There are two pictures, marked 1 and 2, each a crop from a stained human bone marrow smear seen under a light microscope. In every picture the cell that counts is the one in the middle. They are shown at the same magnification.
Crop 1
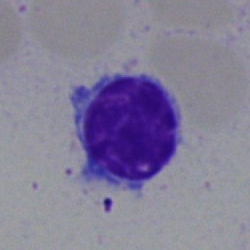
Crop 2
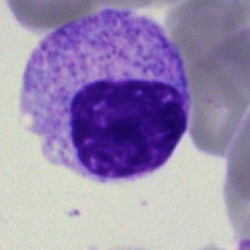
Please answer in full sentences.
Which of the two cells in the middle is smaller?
Crop 1 holds the smaller cell, since the cell in crop 2 covers about 2 times as much area.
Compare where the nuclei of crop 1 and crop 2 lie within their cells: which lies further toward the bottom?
Seen within its cell, the nucleus in crop 2 lies further toward the bottom.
